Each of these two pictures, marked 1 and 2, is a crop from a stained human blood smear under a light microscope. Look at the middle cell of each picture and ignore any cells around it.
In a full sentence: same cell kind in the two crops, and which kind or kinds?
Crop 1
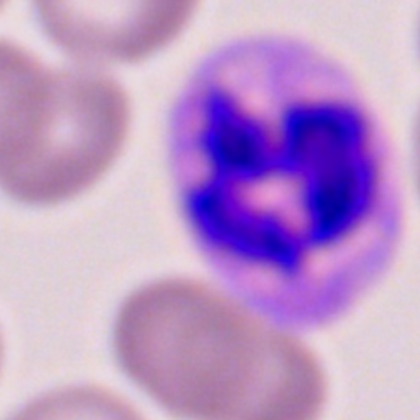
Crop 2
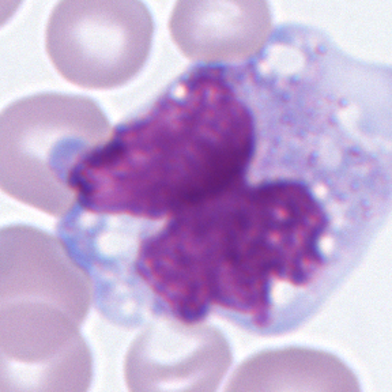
No, the cell at the middle of crop 1 is a segmented neutrophil, while crop 2 centres on a monocyte.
